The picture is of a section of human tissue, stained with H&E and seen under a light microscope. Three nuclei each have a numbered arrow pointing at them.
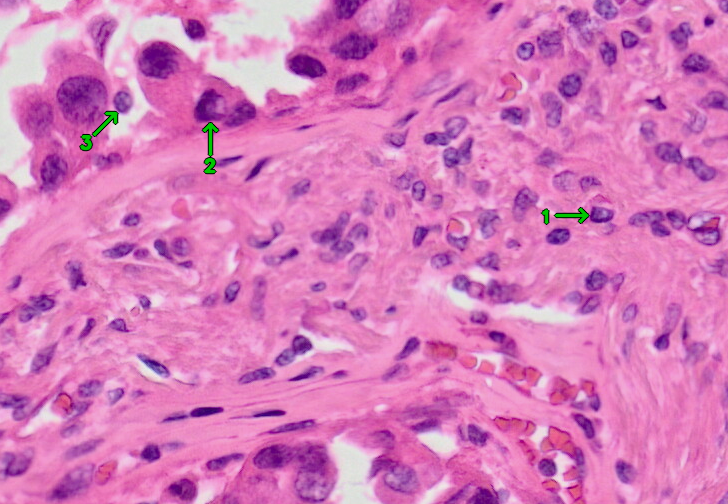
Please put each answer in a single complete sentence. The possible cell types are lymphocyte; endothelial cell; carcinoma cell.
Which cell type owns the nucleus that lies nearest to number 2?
The nearest nucleus to number 2 belongs to a carcinoma cell.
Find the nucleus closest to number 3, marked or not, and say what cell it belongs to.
Closest to number 3 lies the nucleus of a carcinoma cell.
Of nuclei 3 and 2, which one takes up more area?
It is nucleus 2, which covers about 2.5 times the area of nucleus 3.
